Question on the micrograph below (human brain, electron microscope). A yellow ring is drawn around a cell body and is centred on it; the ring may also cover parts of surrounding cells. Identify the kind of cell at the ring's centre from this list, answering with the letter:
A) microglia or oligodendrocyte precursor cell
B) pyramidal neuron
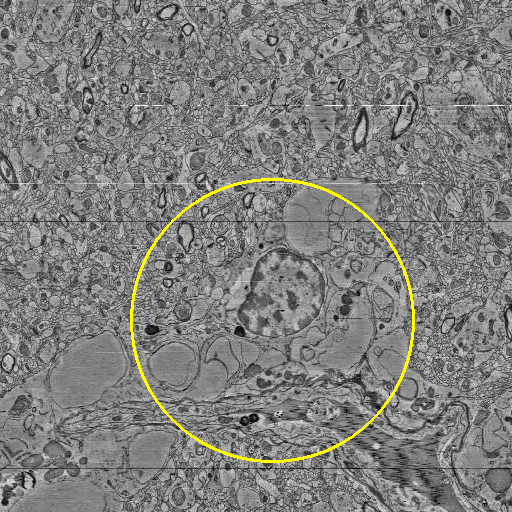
A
